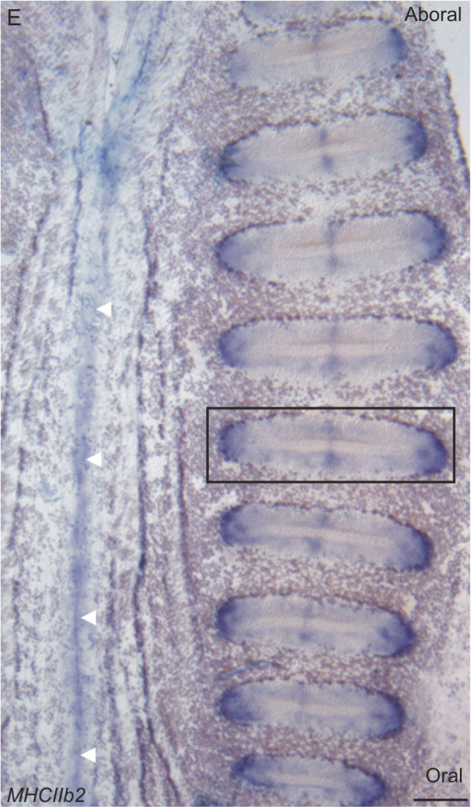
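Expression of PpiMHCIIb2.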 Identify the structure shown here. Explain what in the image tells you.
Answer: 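A vertical series of elongated oval plates stacked one above another. The plates are evenly spaced and aligned along the same axis. That points to this answer: comb row.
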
